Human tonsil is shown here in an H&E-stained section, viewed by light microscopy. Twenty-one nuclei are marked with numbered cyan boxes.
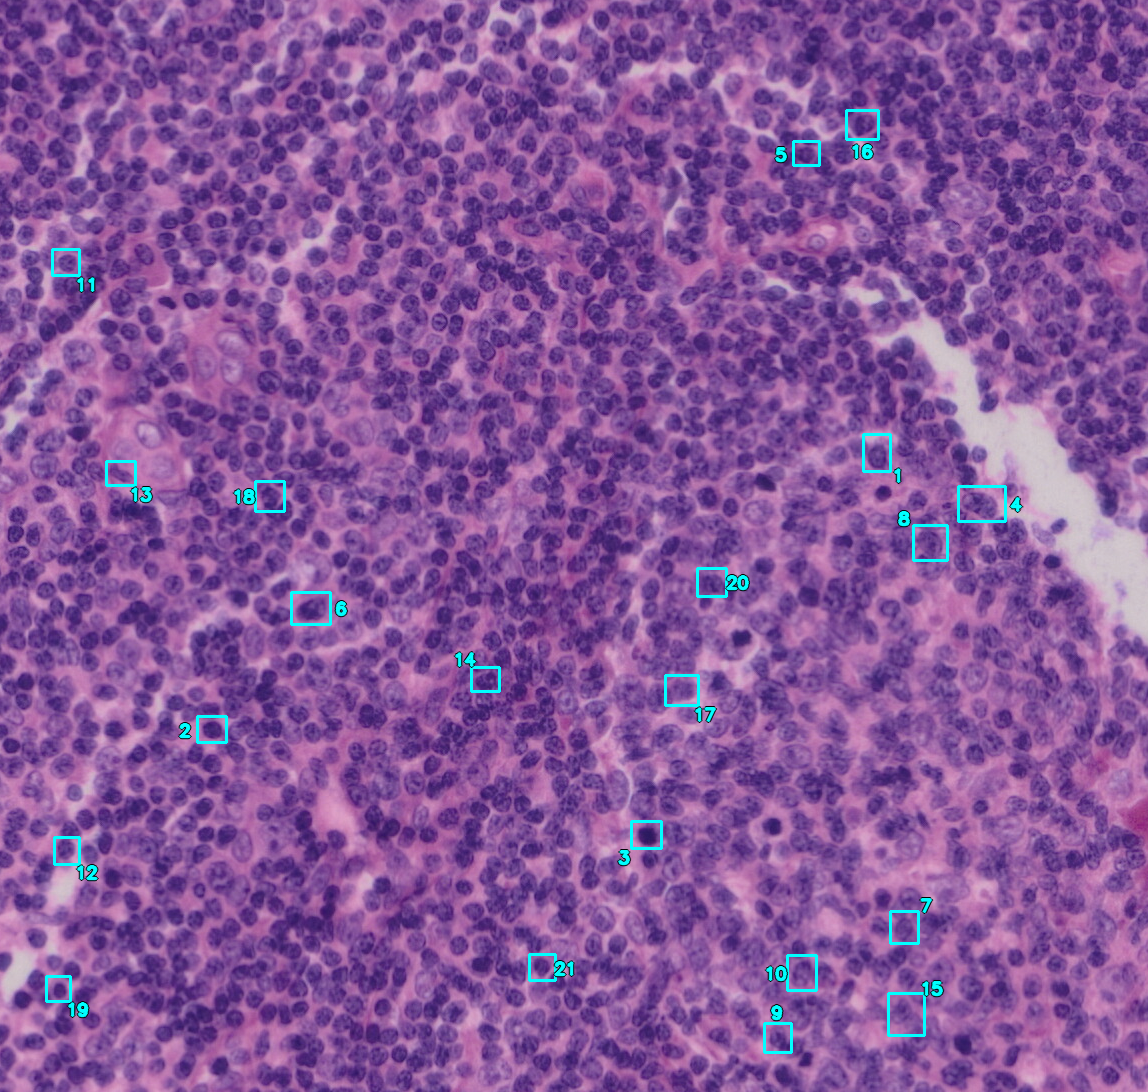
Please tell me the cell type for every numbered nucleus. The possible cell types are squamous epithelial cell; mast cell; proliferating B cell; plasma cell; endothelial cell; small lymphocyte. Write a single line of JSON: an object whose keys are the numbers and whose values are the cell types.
{"1": "proliferating B cell", "2": "small lymphocyte", "3": "proliferating B cell", "4": "proliferating B cell", "5": "small lymphocyte", "6": "proliferating B cell", "7": "proliferating B cell", "8": "proliferating B cell", "9": "proliferating B cell", "10": "proliferating B cell", "11": "small lymphocyte", "12": "small lymphocyte", "13": "endothelial cell", "14": "small lymphocyte", "15": "proliferating B cell", "16": "small lymphocyte", "17": "proliferating B cell", "18": "small lymphocyte", "19": "small lymphocyte", "20": "proliferating B cell", "21": "small lymphocyte"}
